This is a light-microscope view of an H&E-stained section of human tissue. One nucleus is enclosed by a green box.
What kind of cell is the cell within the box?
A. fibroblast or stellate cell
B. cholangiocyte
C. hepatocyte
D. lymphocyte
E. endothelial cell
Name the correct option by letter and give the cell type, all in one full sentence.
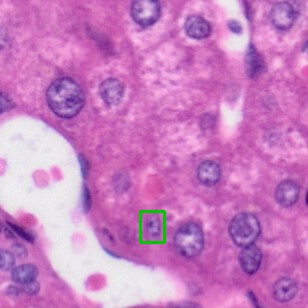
Since the cell within the box is a cholangiocyte, the right option is B.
